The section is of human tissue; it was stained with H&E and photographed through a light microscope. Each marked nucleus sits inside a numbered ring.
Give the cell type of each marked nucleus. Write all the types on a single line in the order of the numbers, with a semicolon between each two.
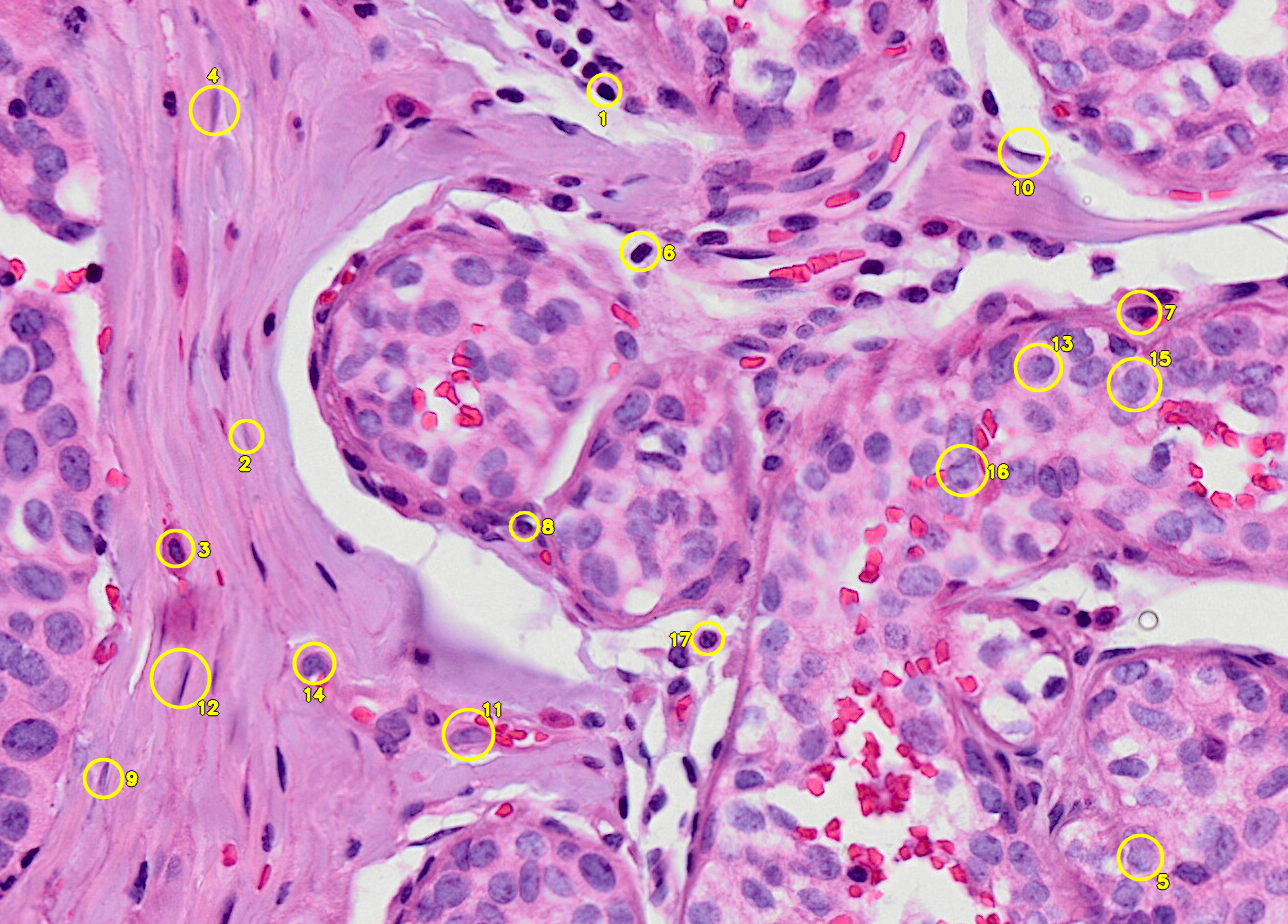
lymphocyte; fibroblast; mast cell; fibroblast; carcinoma cell; lymphocyte; endothelial cell; endothelial cell; fibroblast; fibroblast; endothelial cell; fibroblast; carcinoma cell; endothelial cell; carcinoma cell; carcinoma cell; mast cell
